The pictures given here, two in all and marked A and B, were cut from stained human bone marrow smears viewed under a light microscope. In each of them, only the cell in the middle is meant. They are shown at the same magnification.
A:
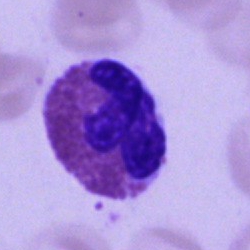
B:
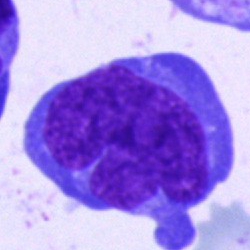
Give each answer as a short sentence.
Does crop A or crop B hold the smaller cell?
It is the cell in crop A; the cell in crop B has about 2 times its area.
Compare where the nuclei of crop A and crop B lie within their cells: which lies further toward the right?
It is the nucleus in crop A that lies further toward the right of its cell.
